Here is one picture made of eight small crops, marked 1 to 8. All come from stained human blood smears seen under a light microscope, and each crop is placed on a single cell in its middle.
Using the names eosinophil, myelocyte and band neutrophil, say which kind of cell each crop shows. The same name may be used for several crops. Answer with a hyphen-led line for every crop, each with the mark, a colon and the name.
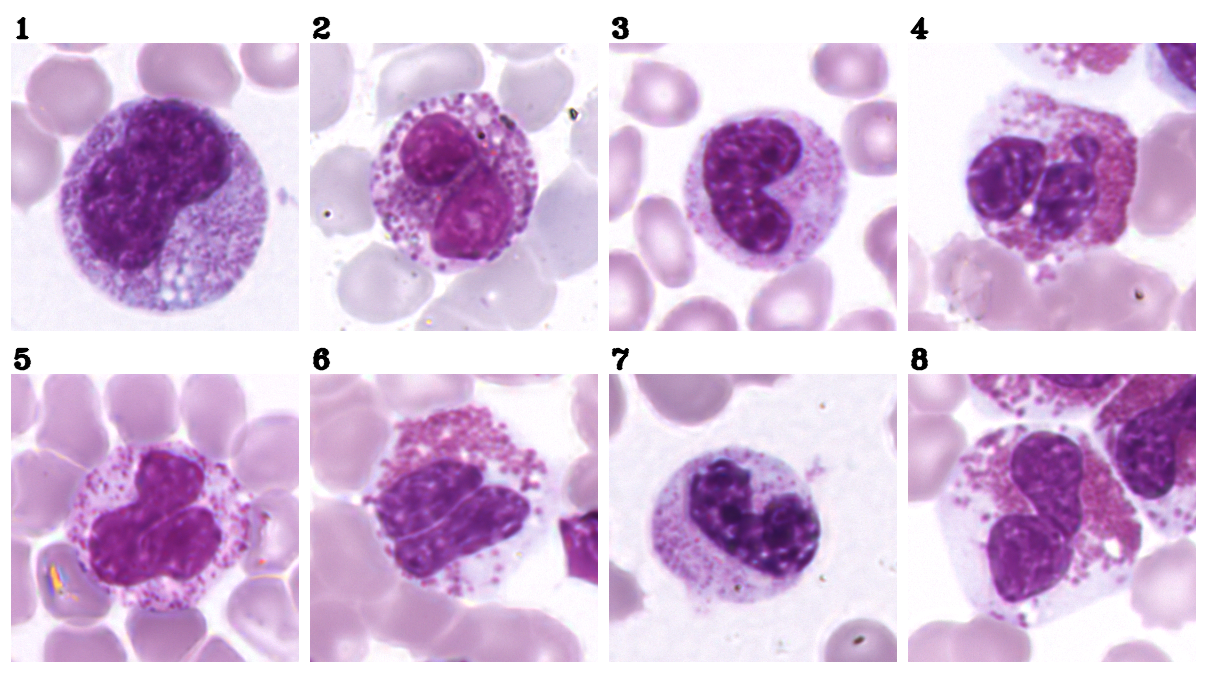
- 1: myelocyte
- 2: eosinophil
- 3: band neutrophil
- 4: eosinophil
- 5: band neutrophil
- 6: eosinophil
- 7: band neutrophil
- 8: eosinophil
